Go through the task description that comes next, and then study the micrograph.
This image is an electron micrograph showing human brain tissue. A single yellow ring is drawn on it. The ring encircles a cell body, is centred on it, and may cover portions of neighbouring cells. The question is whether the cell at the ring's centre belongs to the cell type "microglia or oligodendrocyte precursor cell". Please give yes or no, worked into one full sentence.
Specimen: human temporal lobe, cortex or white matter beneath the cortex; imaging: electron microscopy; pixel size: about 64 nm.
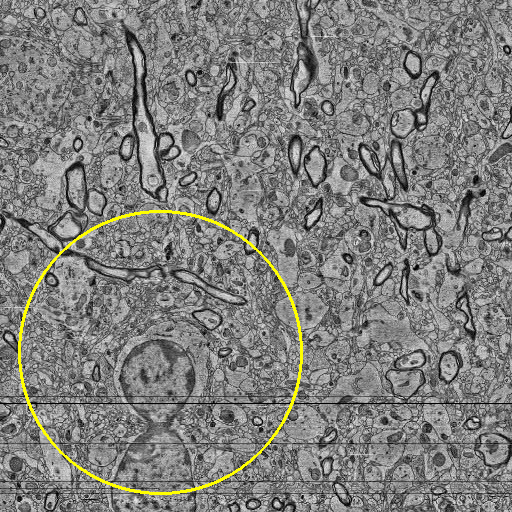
Yes, the cell that the ring is centred on in the micrograph is of this kind.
